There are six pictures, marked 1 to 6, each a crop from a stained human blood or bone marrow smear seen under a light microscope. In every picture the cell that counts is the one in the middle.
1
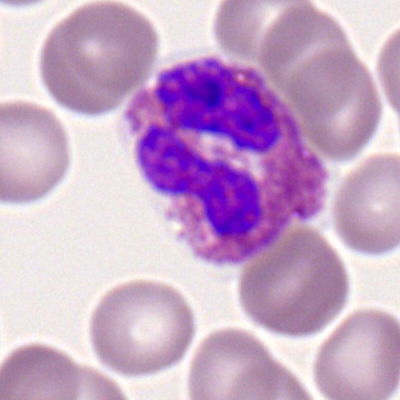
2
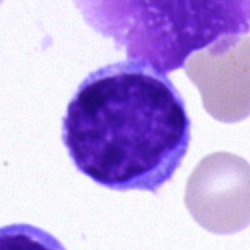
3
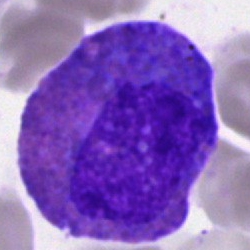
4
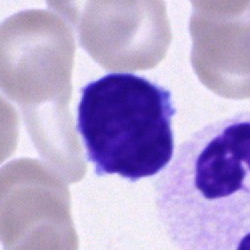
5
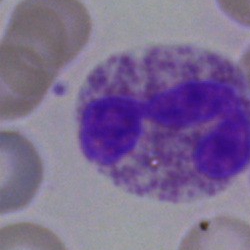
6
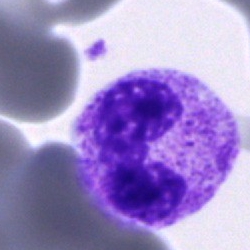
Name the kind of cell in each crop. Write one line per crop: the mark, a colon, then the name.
1: eosinophil
2: lymphocyte
3: eosinophil
4: lymphocyte
5: eosinophil
6: neutrophil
